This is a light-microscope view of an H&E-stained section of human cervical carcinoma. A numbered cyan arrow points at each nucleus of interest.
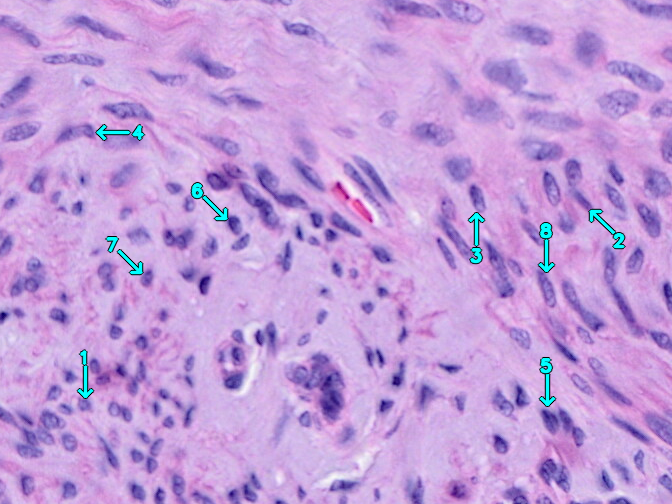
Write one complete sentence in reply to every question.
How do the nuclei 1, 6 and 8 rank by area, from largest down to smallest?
By area, largest first, they run 8, 6, 1.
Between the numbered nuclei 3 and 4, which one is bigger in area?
Nucleus 3 covers more area, about 2 times as much as nucleus 4.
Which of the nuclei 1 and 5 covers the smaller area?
Nucleus 1 is the smaller one; nucleus 5 covers about 1.5 times its area.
